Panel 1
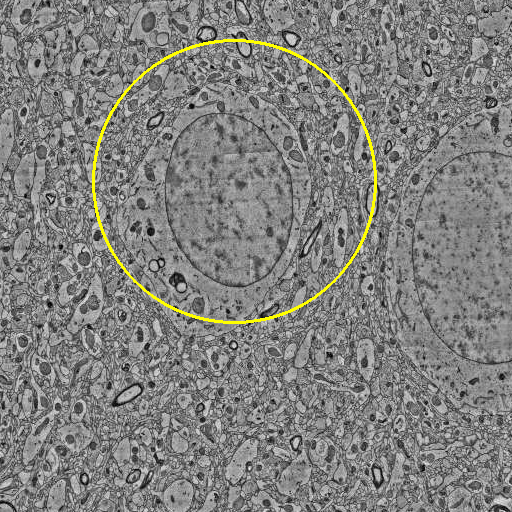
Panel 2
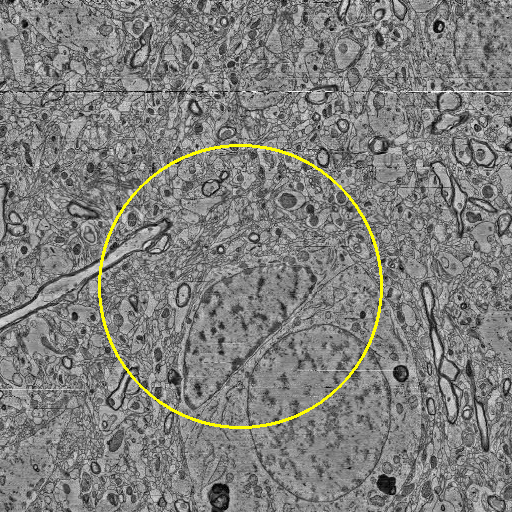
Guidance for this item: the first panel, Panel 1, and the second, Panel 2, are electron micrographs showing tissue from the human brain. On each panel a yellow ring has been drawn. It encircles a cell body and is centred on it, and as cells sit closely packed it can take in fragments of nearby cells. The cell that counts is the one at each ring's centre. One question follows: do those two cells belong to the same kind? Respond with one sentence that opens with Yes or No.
No, the cells at the ring centres in Panel 1 and Panel 2 are of two kinds.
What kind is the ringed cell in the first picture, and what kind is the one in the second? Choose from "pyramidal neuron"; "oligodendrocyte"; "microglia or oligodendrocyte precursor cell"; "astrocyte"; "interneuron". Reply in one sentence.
The first cell is a pyramidal neuron; the second is a microglial cell or oligodendrocyte precursor cell.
